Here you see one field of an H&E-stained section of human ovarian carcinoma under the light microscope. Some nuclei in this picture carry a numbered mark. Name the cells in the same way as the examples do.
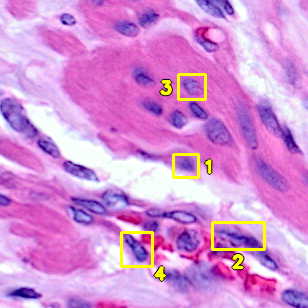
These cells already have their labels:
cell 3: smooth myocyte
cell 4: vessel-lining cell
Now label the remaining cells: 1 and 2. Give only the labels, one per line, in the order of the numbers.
smooth myocyte
vessel-lining cell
